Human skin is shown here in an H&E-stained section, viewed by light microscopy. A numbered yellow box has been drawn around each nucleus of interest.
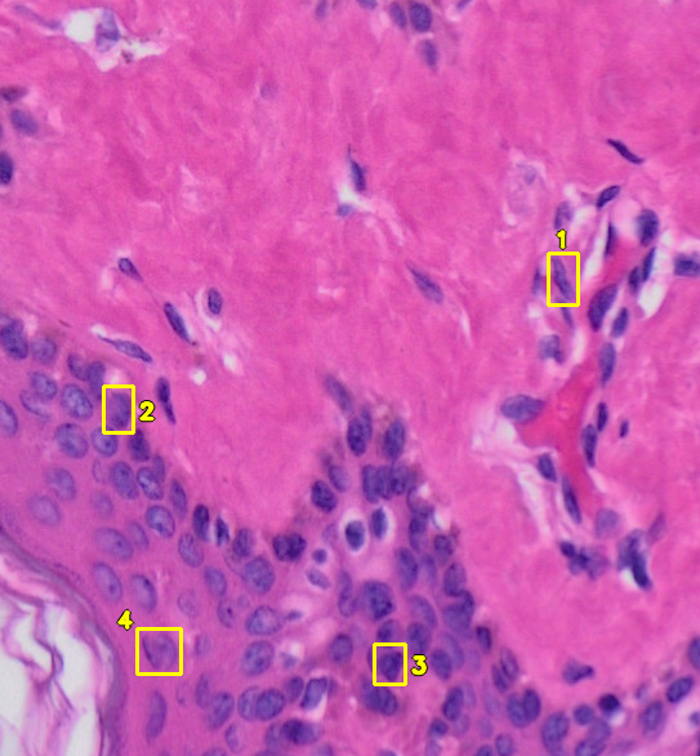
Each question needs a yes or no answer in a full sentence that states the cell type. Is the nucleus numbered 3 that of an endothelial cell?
No, the cell labelled 3 is a basal keratinocyte and not an endothelial cell.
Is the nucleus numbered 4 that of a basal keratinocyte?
No, cell 4 should be read as a suprabasal keratinocyte instead of a basal keratinocyte.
